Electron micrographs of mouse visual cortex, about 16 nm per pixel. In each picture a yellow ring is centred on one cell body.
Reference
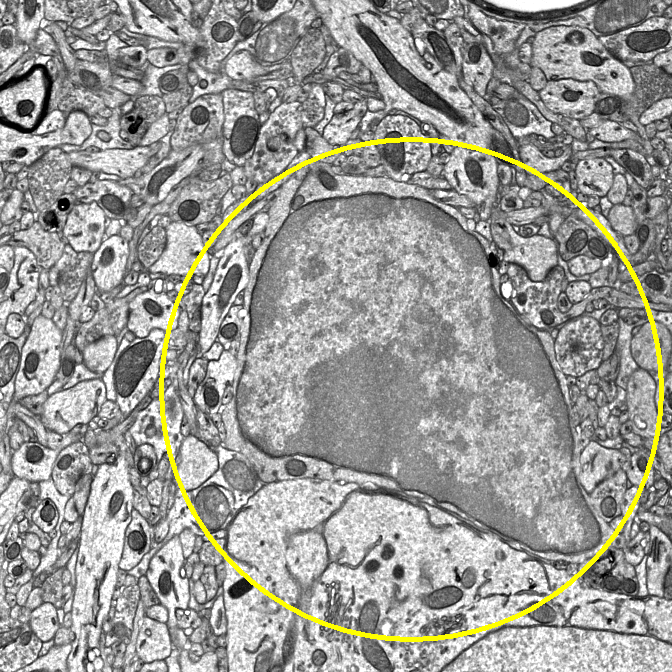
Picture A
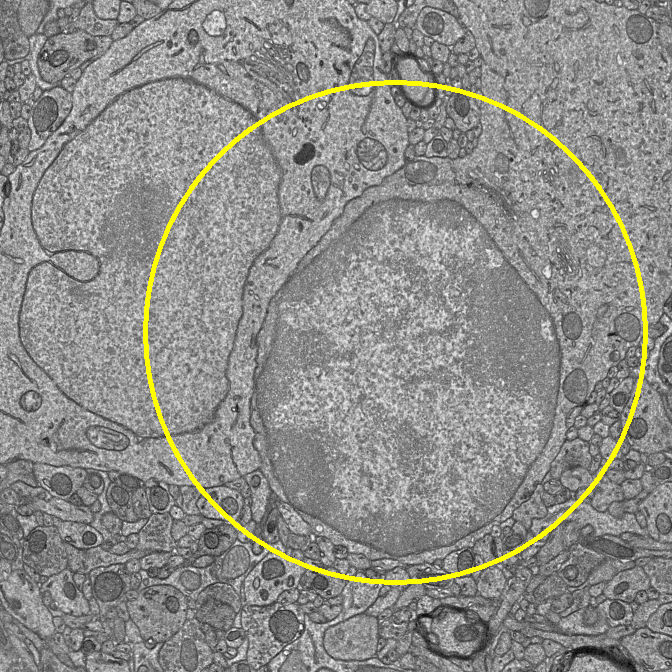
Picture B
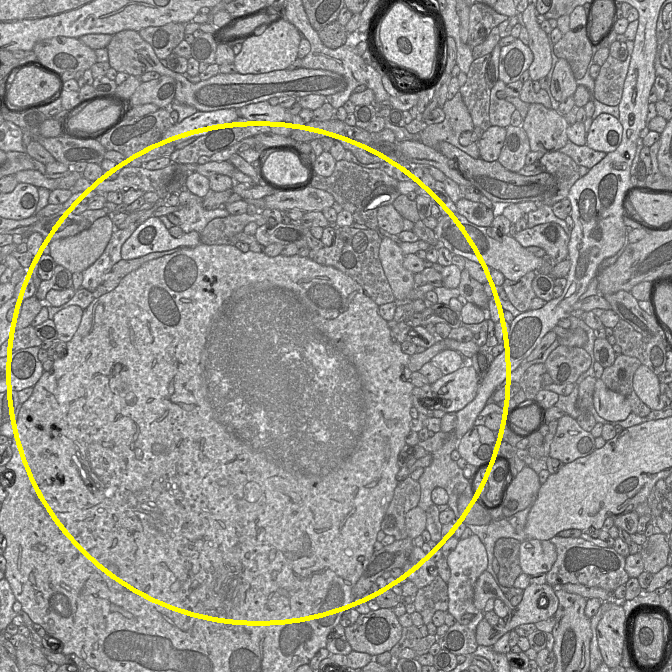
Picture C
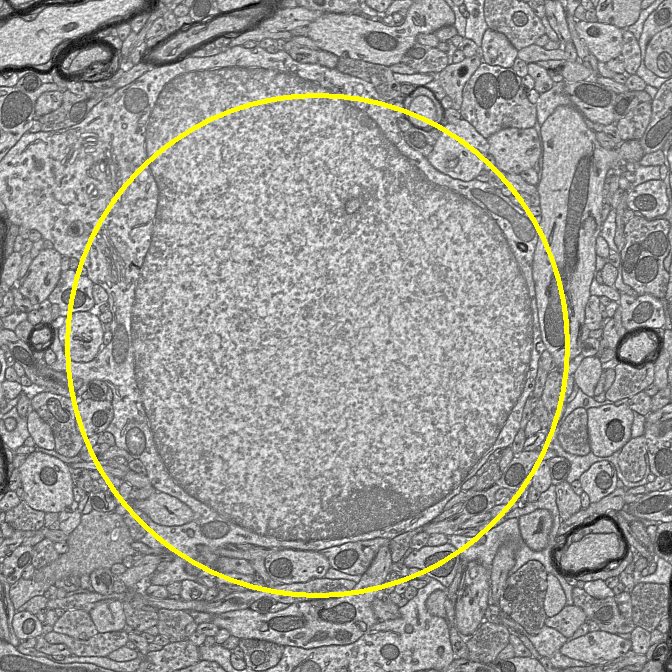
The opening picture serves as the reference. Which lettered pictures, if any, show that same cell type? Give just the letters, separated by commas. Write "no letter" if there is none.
no letter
